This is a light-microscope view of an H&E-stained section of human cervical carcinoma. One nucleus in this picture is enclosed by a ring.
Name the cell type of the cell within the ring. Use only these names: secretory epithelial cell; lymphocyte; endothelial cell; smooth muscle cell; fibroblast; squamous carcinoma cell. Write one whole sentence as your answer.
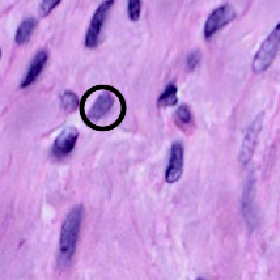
The category to which the cell within the ring belongs is that of a fibroblast.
